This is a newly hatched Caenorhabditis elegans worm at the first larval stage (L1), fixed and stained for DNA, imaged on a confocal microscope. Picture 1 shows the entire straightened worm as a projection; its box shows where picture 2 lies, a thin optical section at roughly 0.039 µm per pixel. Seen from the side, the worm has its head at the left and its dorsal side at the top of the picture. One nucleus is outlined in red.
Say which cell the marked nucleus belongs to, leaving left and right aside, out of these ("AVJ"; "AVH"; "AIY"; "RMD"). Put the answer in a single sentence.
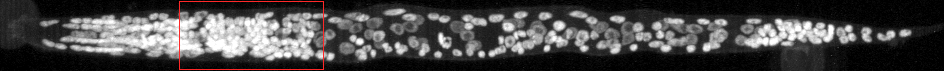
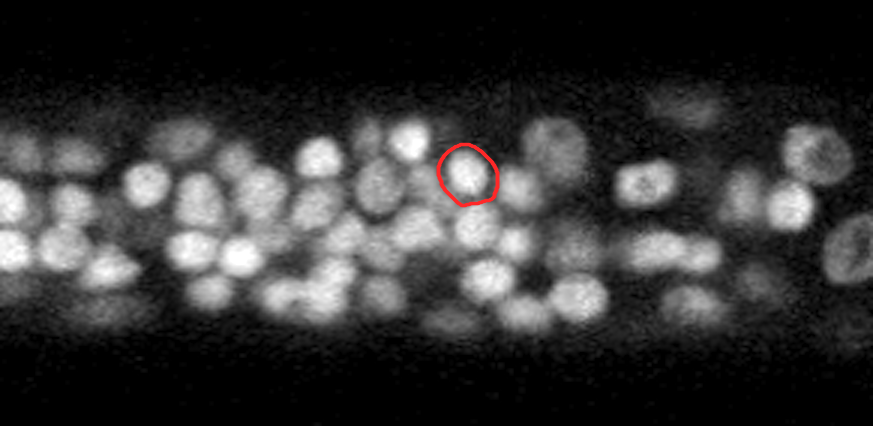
It belongs to AVJ, a neuron.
